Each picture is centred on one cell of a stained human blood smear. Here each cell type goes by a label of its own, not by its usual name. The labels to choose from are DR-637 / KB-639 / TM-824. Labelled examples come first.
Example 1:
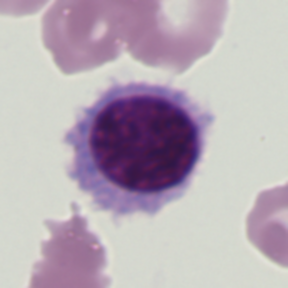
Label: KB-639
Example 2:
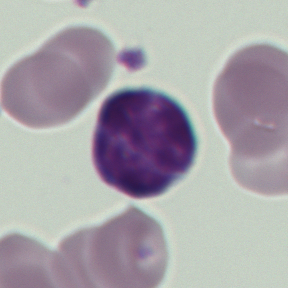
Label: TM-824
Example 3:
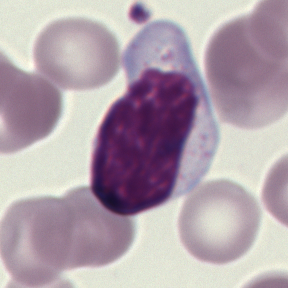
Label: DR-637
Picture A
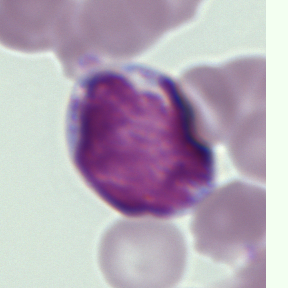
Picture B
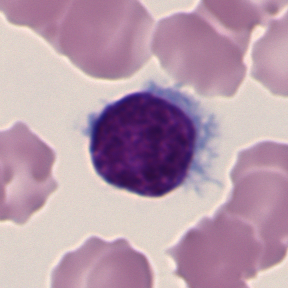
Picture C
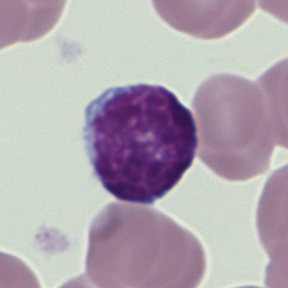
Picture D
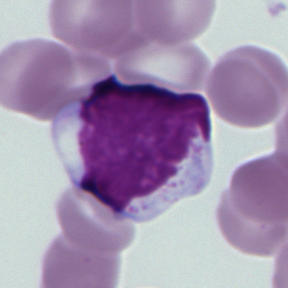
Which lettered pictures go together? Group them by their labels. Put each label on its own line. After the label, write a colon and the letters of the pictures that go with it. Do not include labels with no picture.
DR-637: A, D
KB-639: B
TM-824: C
